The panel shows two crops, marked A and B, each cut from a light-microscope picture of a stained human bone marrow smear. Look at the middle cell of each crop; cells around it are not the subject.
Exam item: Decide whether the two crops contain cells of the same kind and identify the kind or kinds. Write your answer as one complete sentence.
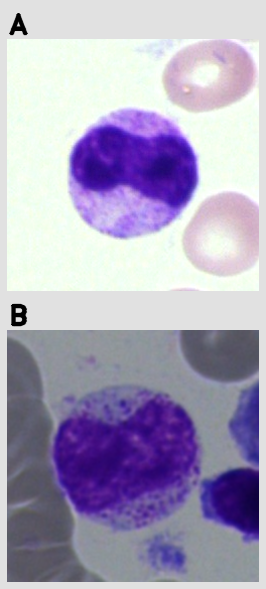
Yes, metamyelocytes occupy the centre of both crops.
